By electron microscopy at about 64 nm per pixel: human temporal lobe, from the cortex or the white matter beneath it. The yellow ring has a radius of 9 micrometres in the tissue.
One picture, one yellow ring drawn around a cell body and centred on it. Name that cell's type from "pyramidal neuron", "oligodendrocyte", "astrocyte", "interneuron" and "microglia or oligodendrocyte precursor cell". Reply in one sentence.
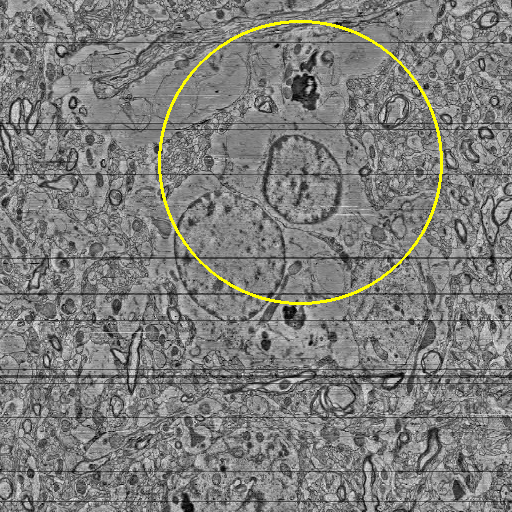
Centred in the ring is an astrocyte.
